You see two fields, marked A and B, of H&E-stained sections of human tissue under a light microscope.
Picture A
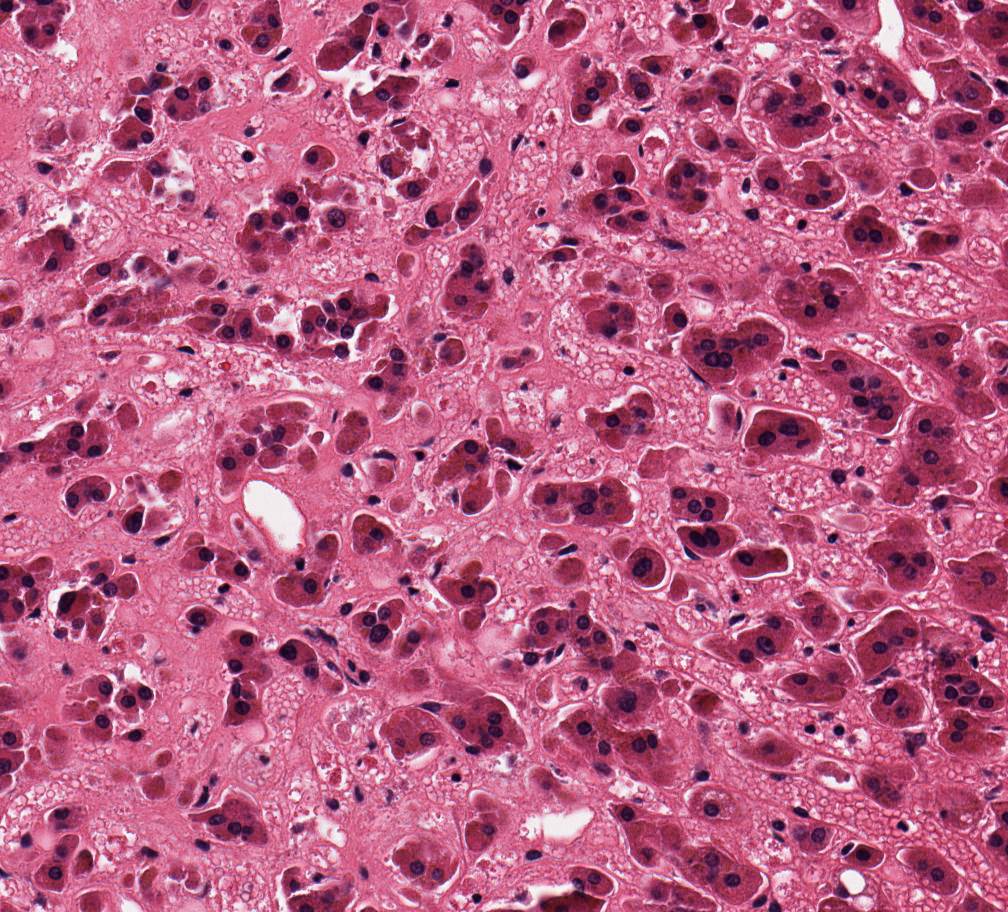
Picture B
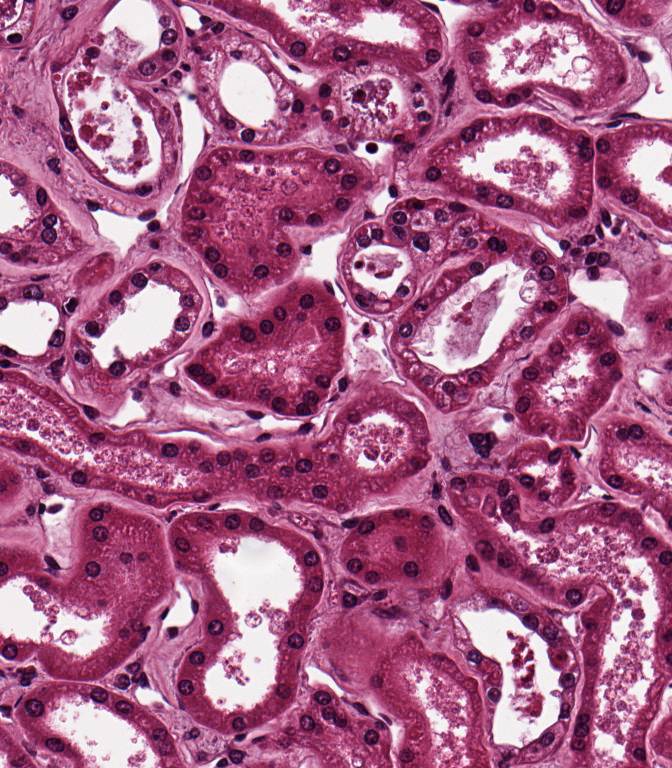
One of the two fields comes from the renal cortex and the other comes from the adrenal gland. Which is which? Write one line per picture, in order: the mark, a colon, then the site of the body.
A: adrenal gland
B: renal cortex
